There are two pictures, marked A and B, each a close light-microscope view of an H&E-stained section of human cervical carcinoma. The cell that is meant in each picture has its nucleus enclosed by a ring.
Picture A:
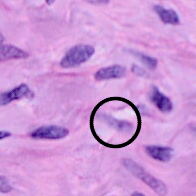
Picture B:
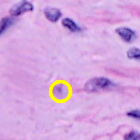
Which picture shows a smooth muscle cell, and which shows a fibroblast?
A: fibroblast
B: smooth muscle cell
